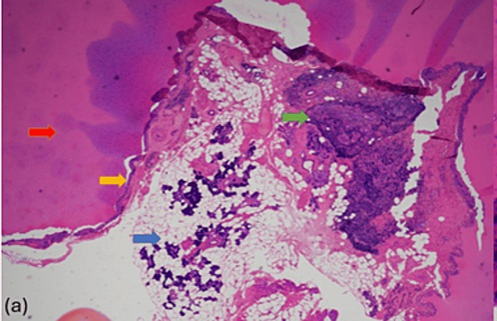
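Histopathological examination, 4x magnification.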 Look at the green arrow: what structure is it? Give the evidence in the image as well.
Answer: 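Lymphoid aggregates. A dense dark purple area packed with small nuclei. It lies beside the wall of the large cyst.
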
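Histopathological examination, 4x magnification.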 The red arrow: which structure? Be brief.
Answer: Eosinophilic secretion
